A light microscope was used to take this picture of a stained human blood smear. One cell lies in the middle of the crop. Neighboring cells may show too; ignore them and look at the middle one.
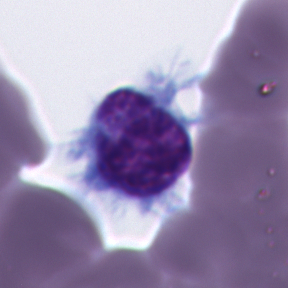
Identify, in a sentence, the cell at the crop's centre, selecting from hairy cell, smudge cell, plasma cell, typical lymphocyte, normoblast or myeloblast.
The centrally located cell in the crop is a hairy cell.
